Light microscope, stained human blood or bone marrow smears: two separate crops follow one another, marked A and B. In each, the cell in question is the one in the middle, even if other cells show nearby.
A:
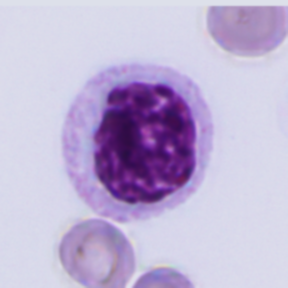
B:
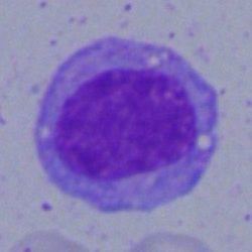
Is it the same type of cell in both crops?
no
